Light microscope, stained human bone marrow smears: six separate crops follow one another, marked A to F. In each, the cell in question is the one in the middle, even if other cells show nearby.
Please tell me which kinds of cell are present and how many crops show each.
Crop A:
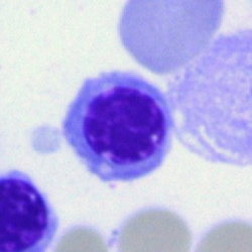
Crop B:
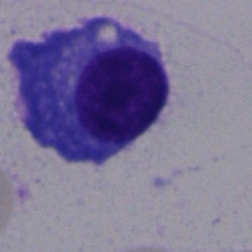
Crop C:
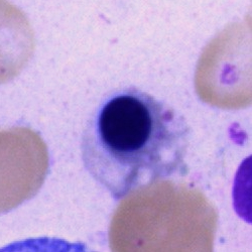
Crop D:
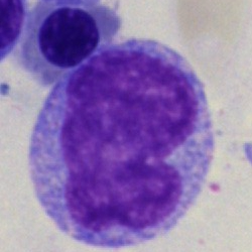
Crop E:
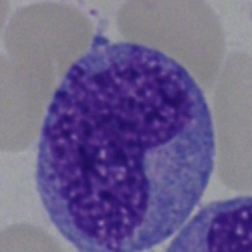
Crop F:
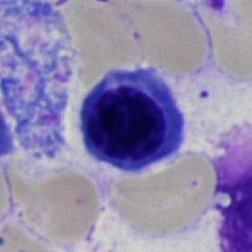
erythroblast: 3
monocyte: 2
plasma cell: 1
